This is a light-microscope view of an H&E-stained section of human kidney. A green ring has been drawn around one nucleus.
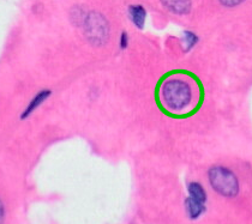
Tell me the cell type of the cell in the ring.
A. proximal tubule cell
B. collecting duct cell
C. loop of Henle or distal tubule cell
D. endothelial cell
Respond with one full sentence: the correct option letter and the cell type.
In this case the cell in the ring is a proximal tubule cell, so option A is correct.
